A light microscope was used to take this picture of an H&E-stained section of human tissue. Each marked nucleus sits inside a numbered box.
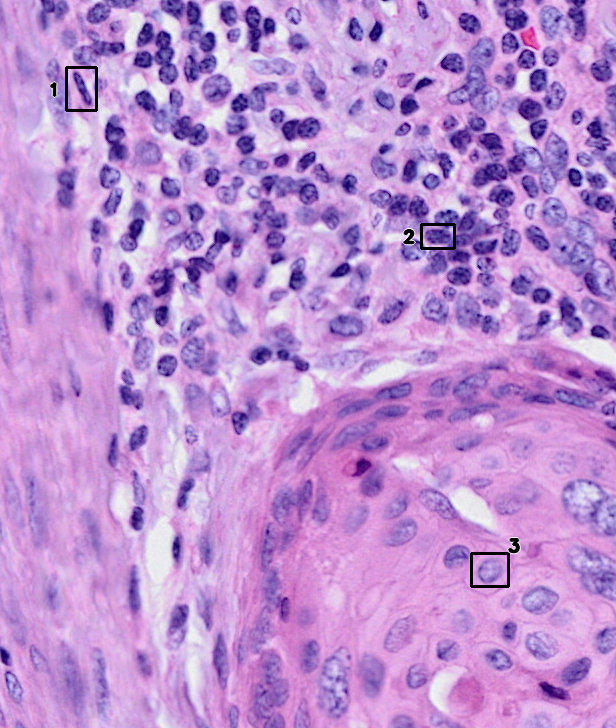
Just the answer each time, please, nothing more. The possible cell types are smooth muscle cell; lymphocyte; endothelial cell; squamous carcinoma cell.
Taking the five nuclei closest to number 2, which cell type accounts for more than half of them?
lymphocyte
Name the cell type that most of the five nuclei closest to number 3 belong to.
squamous carcinoma cell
